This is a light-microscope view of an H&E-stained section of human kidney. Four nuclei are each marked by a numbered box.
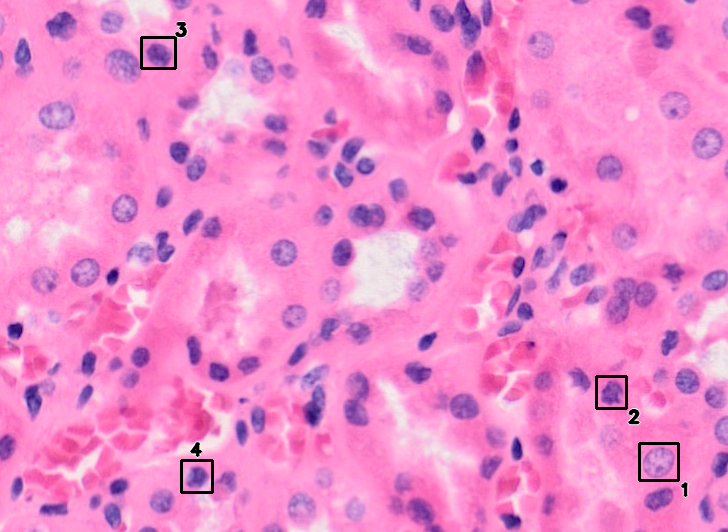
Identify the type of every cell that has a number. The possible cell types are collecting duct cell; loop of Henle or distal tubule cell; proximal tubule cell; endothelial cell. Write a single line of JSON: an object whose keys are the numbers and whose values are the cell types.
{"1": "proximal tubule cell", "2": "proximal tubule cell", "3": "loop of Henle or distal tubule cell", "4": "loop of Henle or distal tubule cell"}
